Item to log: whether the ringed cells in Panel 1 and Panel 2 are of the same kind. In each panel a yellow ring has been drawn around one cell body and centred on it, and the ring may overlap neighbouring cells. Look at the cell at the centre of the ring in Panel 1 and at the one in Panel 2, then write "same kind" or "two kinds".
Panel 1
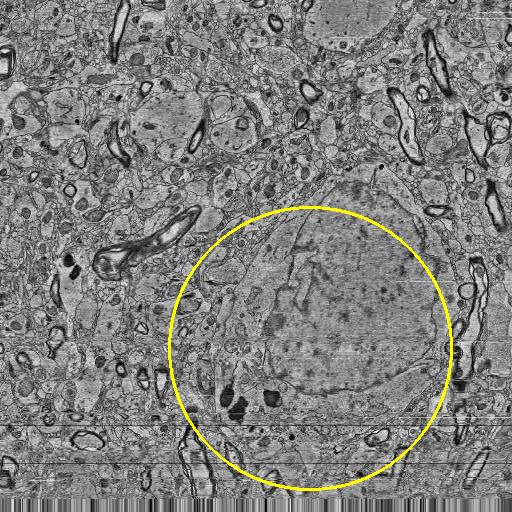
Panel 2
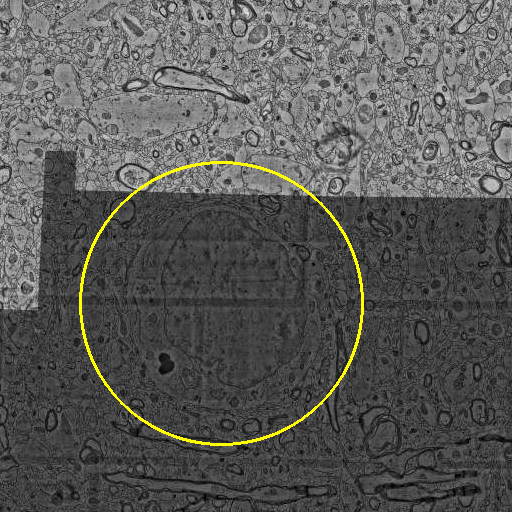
same kind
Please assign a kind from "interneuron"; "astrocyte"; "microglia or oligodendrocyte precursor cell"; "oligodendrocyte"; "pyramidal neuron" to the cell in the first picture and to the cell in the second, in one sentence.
In both pictures the ring is centred on an interneuron.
